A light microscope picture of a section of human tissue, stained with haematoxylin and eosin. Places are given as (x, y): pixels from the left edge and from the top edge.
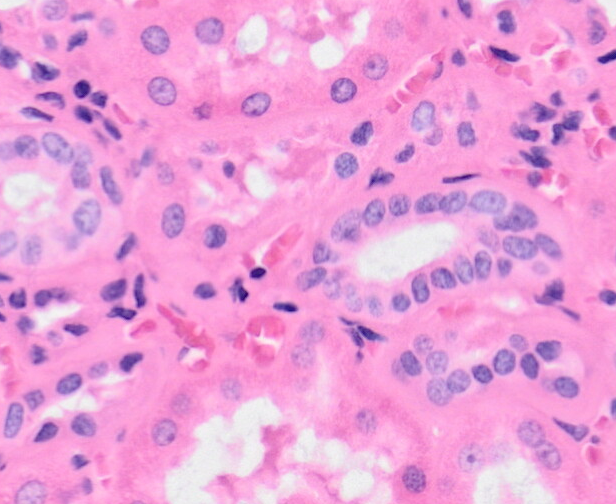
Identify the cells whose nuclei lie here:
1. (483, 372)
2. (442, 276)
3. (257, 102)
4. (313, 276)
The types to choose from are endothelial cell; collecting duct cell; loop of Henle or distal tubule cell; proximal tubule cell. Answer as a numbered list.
1. collecting duct cell
2. collecting duct cell
3. proximal tubule cell
4. collecting duct cell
